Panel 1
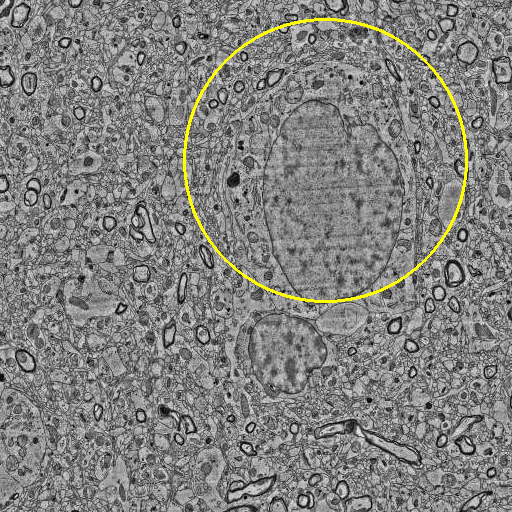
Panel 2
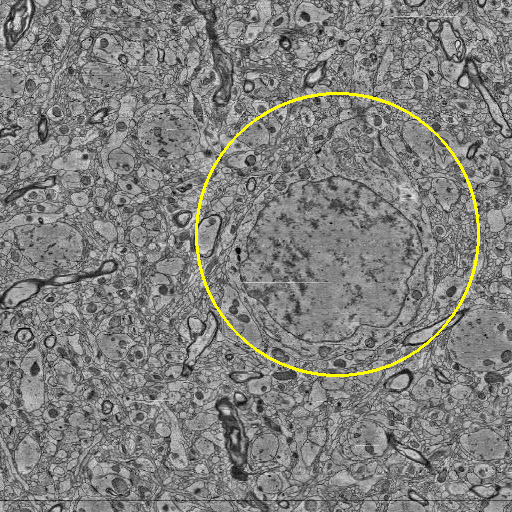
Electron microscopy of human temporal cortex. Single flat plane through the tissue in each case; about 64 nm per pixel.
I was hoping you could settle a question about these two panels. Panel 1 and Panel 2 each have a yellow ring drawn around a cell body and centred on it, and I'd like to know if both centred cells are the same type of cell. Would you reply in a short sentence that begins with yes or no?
Yes, both are the same type of cell.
